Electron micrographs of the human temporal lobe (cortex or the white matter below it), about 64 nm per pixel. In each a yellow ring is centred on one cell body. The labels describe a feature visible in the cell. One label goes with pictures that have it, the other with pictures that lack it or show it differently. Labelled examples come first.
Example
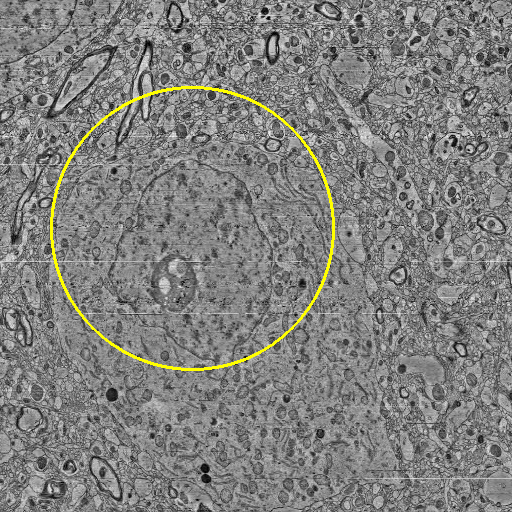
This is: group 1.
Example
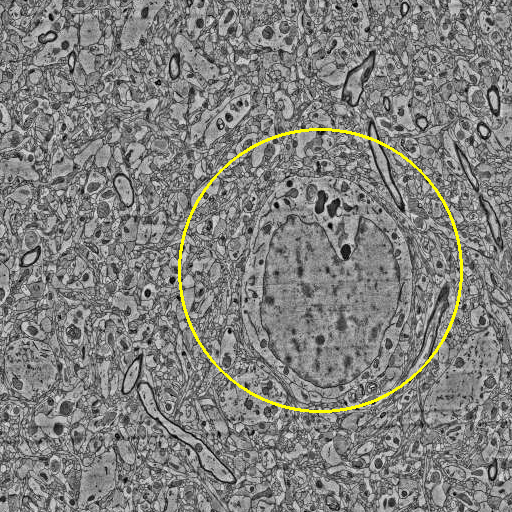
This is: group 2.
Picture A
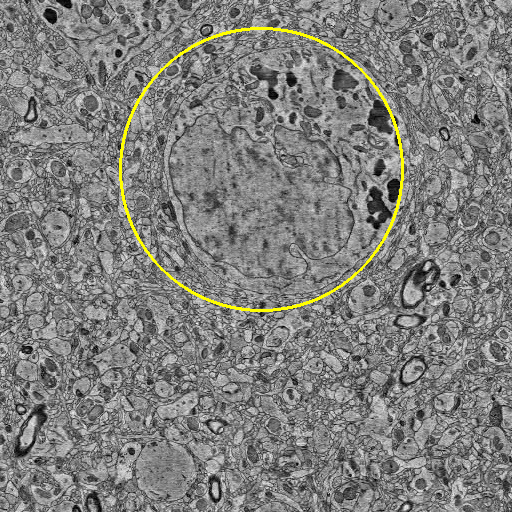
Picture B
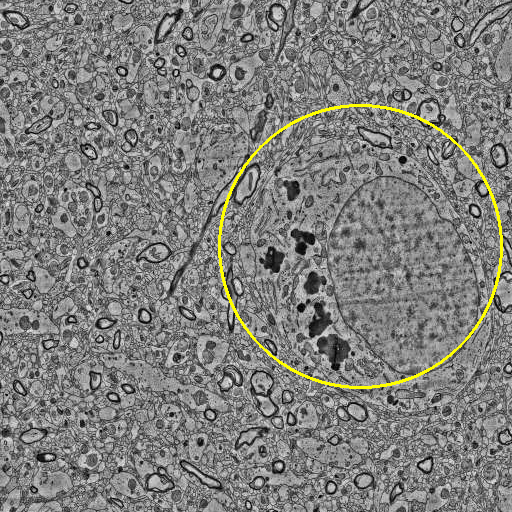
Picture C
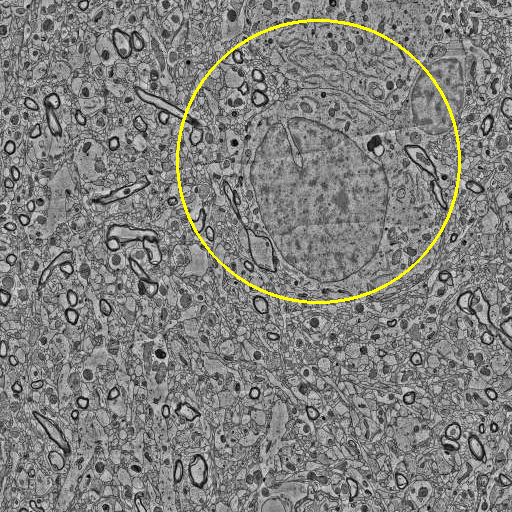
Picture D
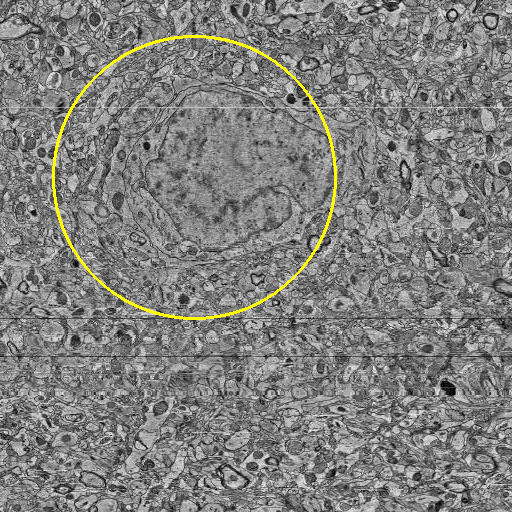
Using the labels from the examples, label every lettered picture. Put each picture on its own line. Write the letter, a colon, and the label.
A: group 2.
B: group 1.
C: group 2.
D: group 2.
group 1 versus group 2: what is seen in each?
In group 1: smooth nuclear envelopes without deep folds. In group 2: deeply folded or indented nuclear envelopes.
